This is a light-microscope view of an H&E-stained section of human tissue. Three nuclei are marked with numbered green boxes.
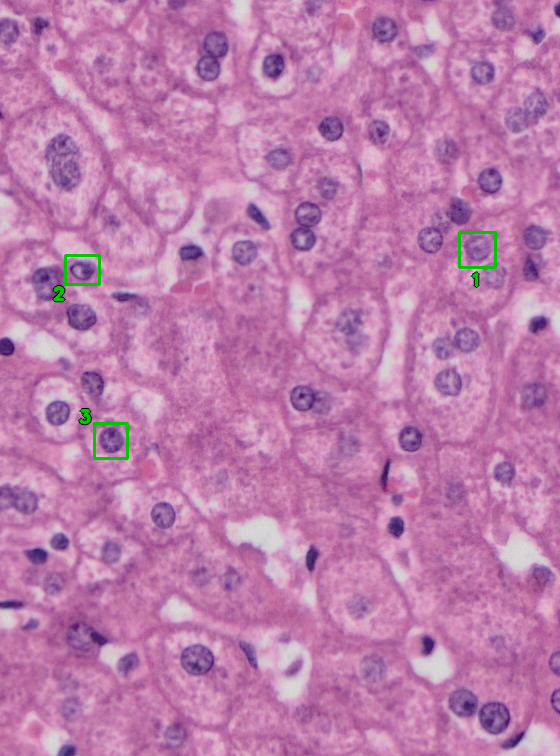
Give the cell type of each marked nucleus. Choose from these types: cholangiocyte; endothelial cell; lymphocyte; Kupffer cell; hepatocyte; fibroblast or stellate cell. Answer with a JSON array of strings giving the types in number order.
["hepatocyte", "Kupffer cell", "hepatocyte"]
